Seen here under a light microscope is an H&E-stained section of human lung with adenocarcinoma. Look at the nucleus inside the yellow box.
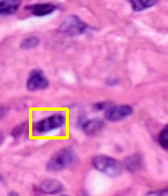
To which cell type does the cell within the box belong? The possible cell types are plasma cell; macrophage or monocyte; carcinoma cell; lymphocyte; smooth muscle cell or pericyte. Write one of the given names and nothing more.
plasma cell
